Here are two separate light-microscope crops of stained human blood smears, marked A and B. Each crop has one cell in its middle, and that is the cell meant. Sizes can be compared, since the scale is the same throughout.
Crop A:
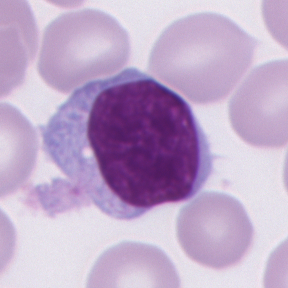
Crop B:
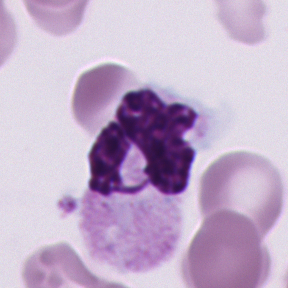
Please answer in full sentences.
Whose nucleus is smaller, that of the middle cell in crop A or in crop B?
The nucleus in crop B is smaller; the one in crop A has about 1.5 times its area.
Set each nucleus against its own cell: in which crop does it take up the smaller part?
In crop B the nucleus takes up the smaller part of its cell.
